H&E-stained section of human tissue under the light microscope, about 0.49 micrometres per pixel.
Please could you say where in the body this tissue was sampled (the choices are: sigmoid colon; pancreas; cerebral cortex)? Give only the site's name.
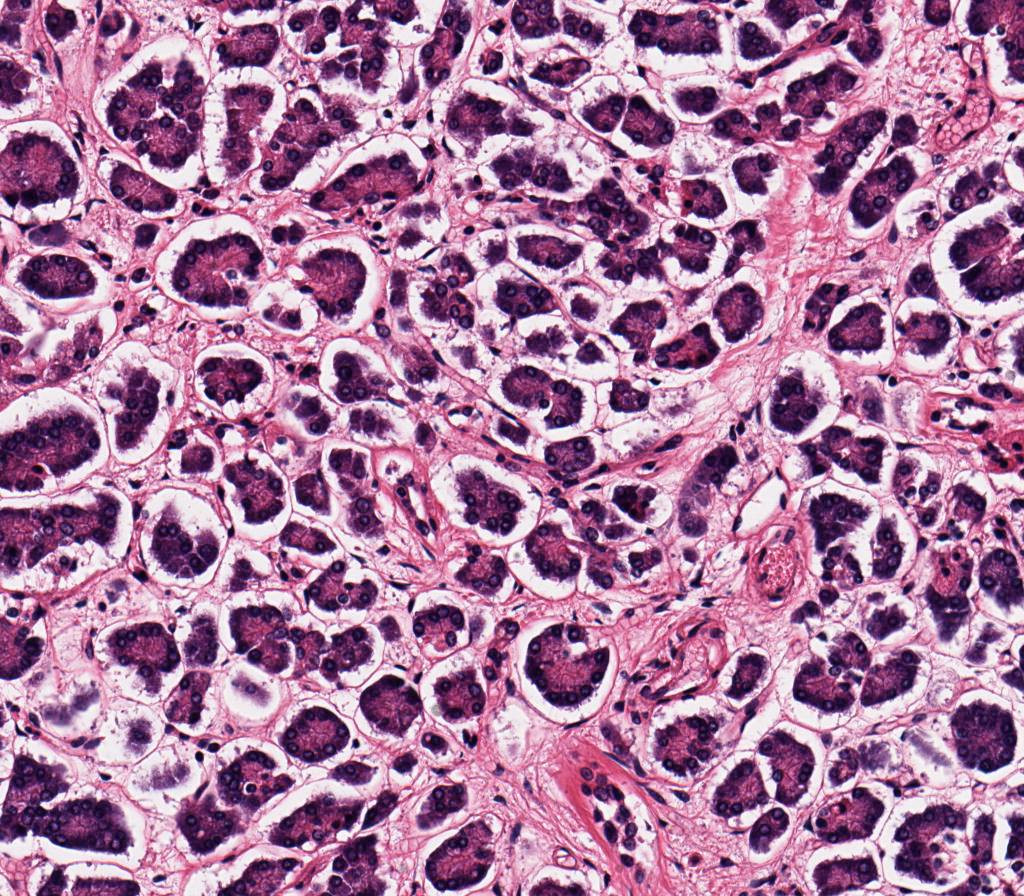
pancreas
